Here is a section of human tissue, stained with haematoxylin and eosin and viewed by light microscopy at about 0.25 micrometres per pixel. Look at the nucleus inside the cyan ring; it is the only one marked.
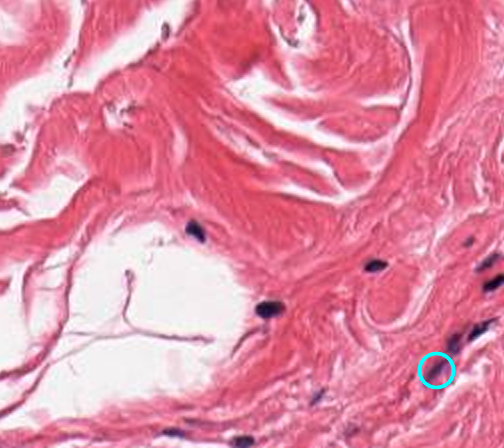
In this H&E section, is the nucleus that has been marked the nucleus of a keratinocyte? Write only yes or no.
no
